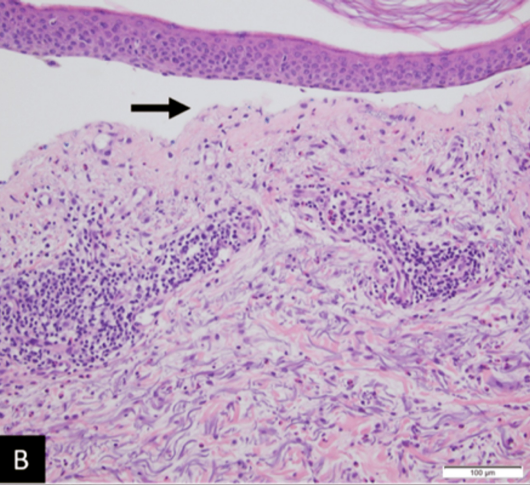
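This skin shows a sub-epidermal blister: the full-thickness epidermis with its keratinocyte layers is lifted as a separate band above an empty cleft, whose floor is the pink, loose papillary dermis. Beneath the cleft, dense clusters of small dark-nucleated inflammatory cells gather around superficial vessels, with scattered cells lying between the collagen fibres.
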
